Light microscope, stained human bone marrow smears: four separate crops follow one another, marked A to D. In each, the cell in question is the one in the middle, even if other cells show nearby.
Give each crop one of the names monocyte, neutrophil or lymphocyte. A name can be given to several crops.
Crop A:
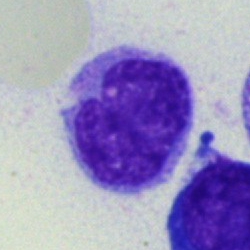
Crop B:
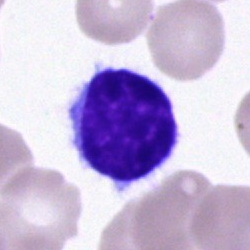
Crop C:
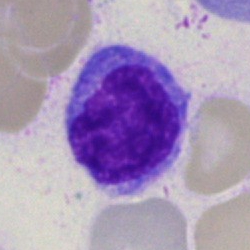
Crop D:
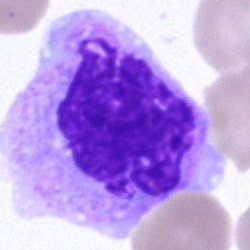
A: monocyte
B: lymphocyte
C: monocyte
D: monocyte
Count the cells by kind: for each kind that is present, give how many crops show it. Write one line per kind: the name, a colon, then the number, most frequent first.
monocyte: 3
lymphocyte: 1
